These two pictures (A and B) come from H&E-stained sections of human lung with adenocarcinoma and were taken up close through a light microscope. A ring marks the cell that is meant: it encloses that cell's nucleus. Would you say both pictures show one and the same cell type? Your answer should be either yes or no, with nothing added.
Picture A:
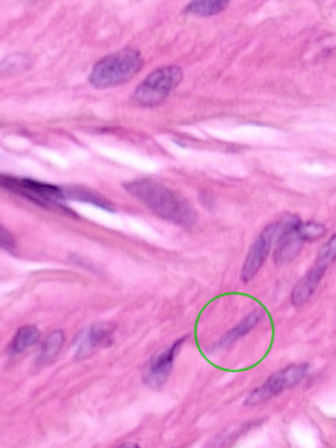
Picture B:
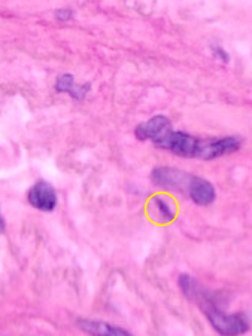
yes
